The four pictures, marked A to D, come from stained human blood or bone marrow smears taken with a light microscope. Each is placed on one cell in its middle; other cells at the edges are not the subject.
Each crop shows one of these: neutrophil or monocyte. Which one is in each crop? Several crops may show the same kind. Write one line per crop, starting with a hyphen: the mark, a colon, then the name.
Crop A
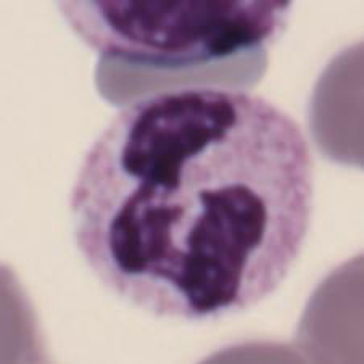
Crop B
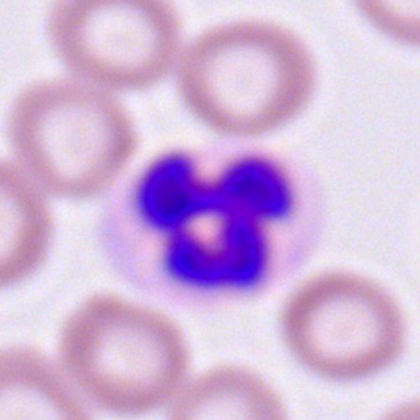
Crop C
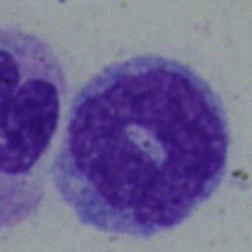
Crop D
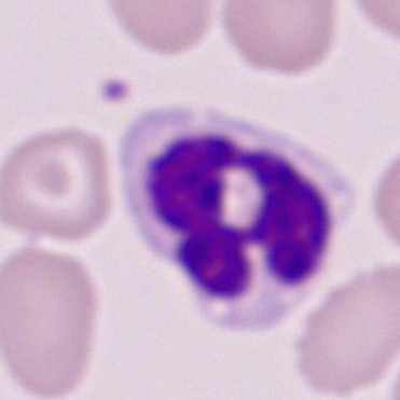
- A: neutrophil
- B: neutrophil
- C: monocyte
- D: neutrophil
